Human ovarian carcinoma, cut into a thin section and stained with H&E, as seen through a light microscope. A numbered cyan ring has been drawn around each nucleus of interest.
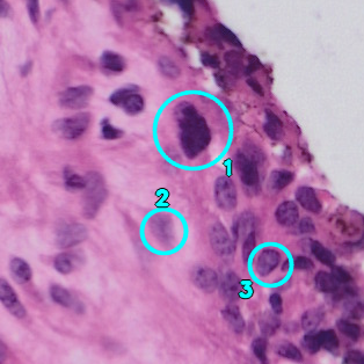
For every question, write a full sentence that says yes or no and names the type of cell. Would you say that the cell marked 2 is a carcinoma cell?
No, number 2 is not a carcinoma cell; it is a fibroblast.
